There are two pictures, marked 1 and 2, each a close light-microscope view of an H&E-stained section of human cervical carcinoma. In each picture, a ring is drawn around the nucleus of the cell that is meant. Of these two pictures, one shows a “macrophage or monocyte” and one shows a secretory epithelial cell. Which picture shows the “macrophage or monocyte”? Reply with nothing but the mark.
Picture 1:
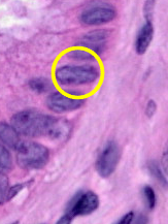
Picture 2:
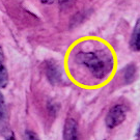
2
